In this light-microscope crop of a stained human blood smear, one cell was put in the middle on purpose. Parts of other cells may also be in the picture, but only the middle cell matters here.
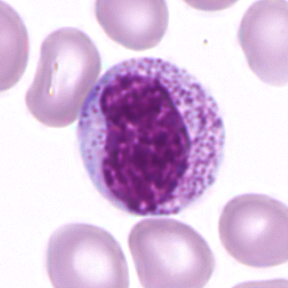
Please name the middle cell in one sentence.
In the middle of this smear crop is a metamyelocyte.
